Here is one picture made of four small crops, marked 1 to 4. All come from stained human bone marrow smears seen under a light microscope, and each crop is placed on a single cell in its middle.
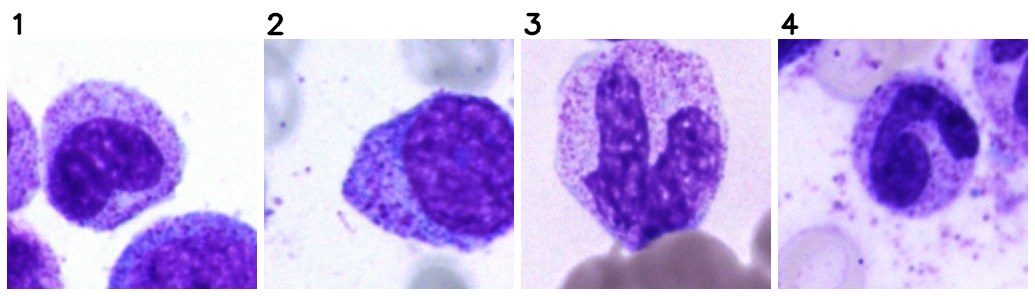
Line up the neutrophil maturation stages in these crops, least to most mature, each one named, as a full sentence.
Once sorted from least to most mature, the sequence is crop 2 (a promyelocyte), crop 1 (a metamyelocyte), crop 3 (a band neutrophil) and crop 4 (a segmented neutrophil).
